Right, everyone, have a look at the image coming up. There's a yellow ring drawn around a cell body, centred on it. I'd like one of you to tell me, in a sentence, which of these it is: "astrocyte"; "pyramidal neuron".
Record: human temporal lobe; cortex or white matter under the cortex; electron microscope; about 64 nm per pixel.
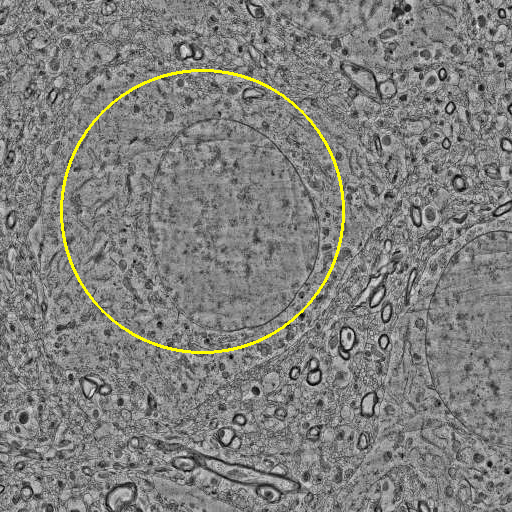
The yellow ring sits on a pyramidal neuron.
